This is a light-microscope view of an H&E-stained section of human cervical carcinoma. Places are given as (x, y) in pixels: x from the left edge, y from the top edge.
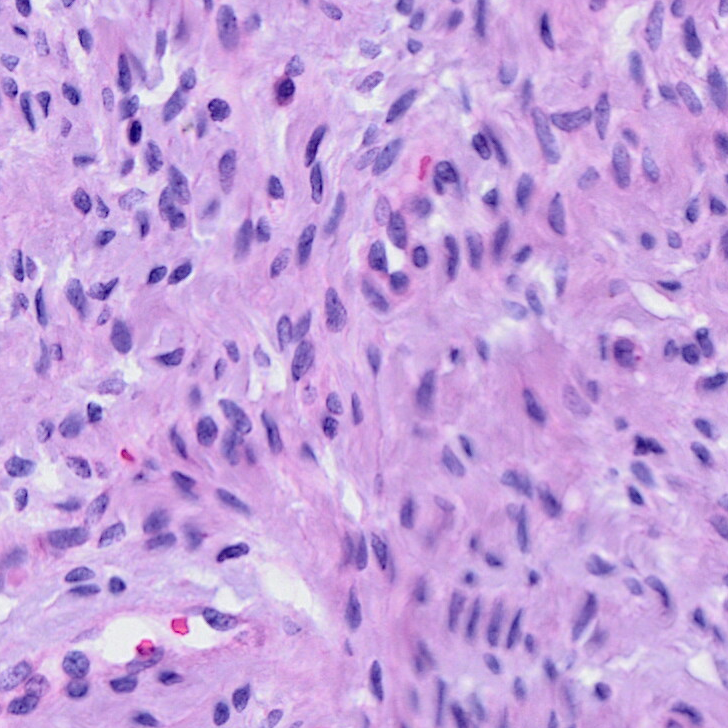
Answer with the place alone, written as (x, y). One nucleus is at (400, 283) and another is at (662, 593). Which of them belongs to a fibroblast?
(662, 593)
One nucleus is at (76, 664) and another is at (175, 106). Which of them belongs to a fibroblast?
(175, 106)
